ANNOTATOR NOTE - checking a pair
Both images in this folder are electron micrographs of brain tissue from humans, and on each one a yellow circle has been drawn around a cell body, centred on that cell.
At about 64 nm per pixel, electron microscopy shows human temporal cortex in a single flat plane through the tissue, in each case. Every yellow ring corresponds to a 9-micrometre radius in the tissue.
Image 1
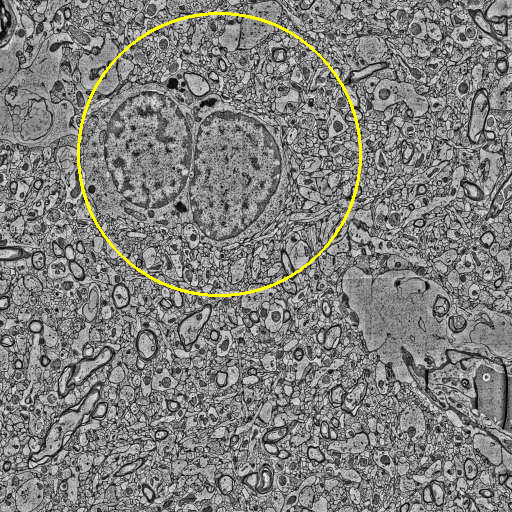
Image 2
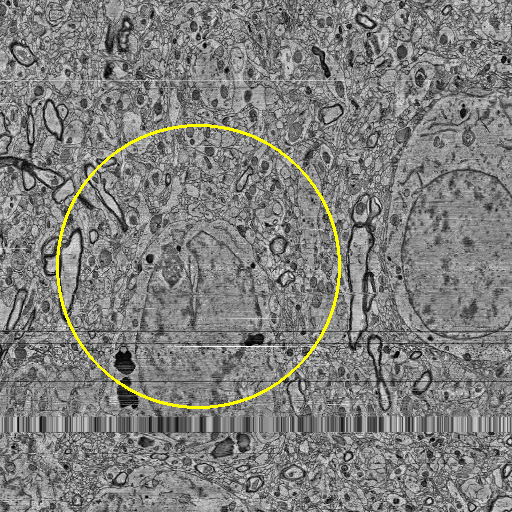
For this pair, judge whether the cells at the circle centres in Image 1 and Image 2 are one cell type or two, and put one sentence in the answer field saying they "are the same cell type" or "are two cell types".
For this pair, the cells at the circle centres in Images 1 and 2 are two cell types.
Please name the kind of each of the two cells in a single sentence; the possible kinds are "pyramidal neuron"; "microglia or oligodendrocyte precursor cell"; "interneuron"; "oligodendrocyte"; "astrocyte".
In the first picture the ring is centred on an oligodendrocyte, and in the second on an interneuron.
